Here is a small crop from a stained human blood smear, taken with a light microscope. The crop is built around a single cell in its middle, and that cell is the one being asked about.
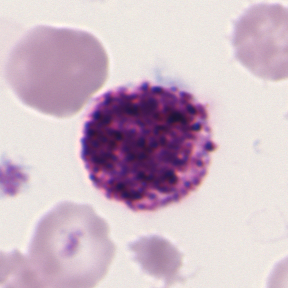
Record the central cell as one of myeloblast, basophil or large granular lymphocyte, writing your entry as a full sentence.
The centrally positioned cell in the crop represents a basophil.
